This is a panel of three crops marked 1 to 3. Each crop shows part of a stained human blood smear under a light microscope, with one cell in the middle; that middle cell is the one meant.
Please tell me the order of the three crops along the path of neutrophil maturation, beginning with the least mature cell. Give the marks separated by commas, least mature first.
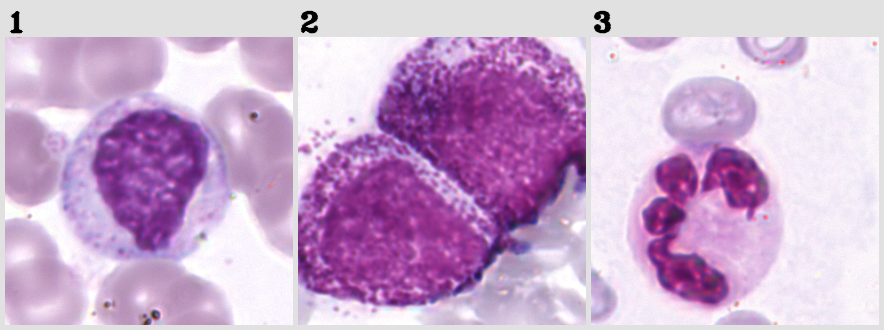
2, 1, 3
